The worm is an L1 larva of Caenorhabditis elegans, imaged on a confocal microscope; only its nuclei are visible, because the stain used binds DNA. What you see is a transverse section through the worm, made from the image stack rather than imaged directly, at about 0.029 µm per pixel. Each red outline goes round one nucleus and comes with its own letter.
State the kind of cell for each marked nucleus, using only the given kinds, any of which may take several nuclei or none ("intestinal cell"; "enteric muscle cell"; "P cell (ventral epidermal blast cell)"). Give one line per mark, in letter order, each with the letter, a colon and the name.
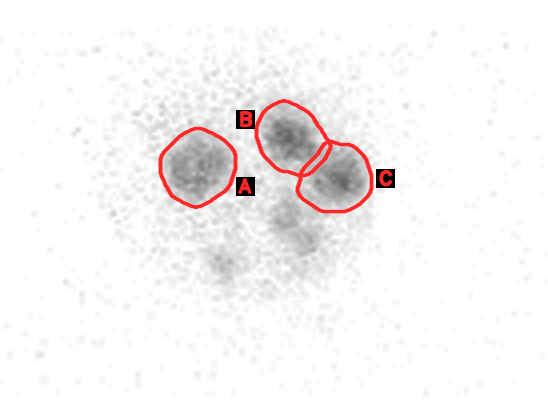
A: intestinal cell
B: P cell (ventral epidermal blast cell)
C: enteric muscle cell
